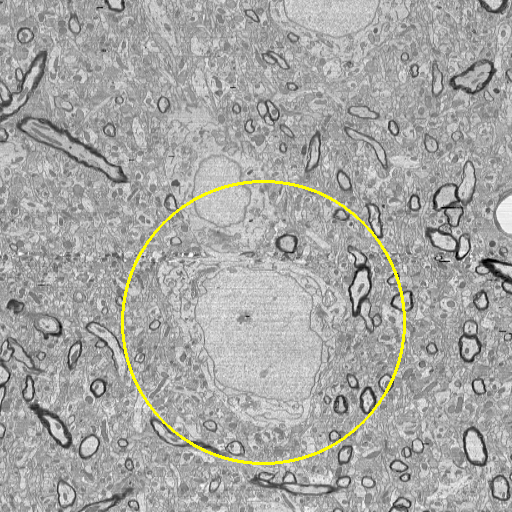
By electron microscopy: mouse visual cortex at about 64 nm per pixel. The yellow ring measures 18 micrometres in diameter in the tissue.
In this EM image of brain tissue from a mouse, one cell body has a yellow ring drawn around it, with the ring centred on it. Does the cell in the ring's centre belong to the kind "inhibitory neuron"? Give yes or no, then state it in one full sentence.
Yes, in the picture, the cell centred in the yellow ring belongs to that kind.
